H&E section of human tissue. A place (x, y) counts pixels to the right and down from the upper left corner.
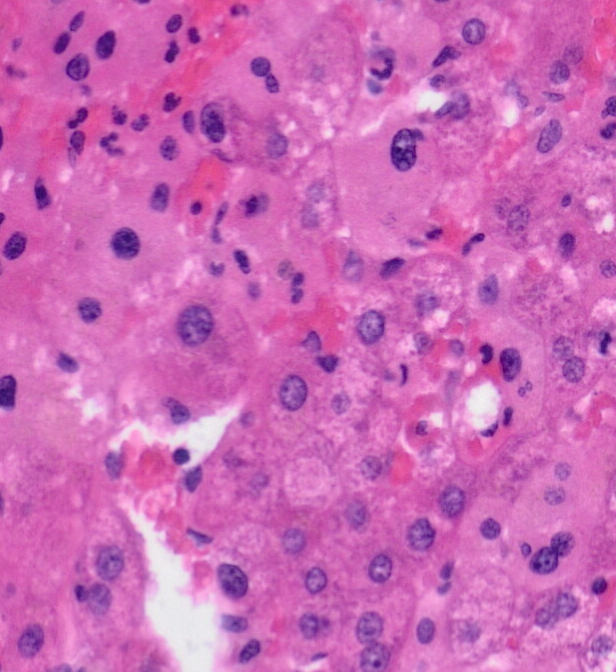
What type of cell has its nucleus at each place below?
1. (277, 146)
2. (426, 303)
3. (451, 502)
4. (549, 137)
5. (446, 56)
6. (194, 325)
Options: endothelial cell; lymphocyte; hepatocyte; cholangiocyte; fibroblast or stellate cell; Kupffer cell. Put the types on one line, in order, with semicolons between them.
hepatocyte; hepatocyte; hepatocyte; Kupffer cell; fibroblast or stellate cell; hepatocyte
